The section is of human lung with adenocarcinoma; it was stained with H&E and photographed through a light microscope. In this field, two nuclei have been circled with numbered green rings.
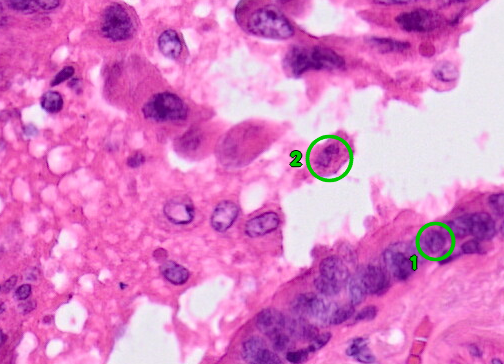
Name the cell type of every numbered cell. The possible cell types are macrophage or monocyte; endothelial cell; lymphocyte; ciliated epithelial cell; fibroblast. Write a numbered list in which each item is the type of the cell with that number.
1. ciliated epithelial cell
2. macrophage or monocyte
